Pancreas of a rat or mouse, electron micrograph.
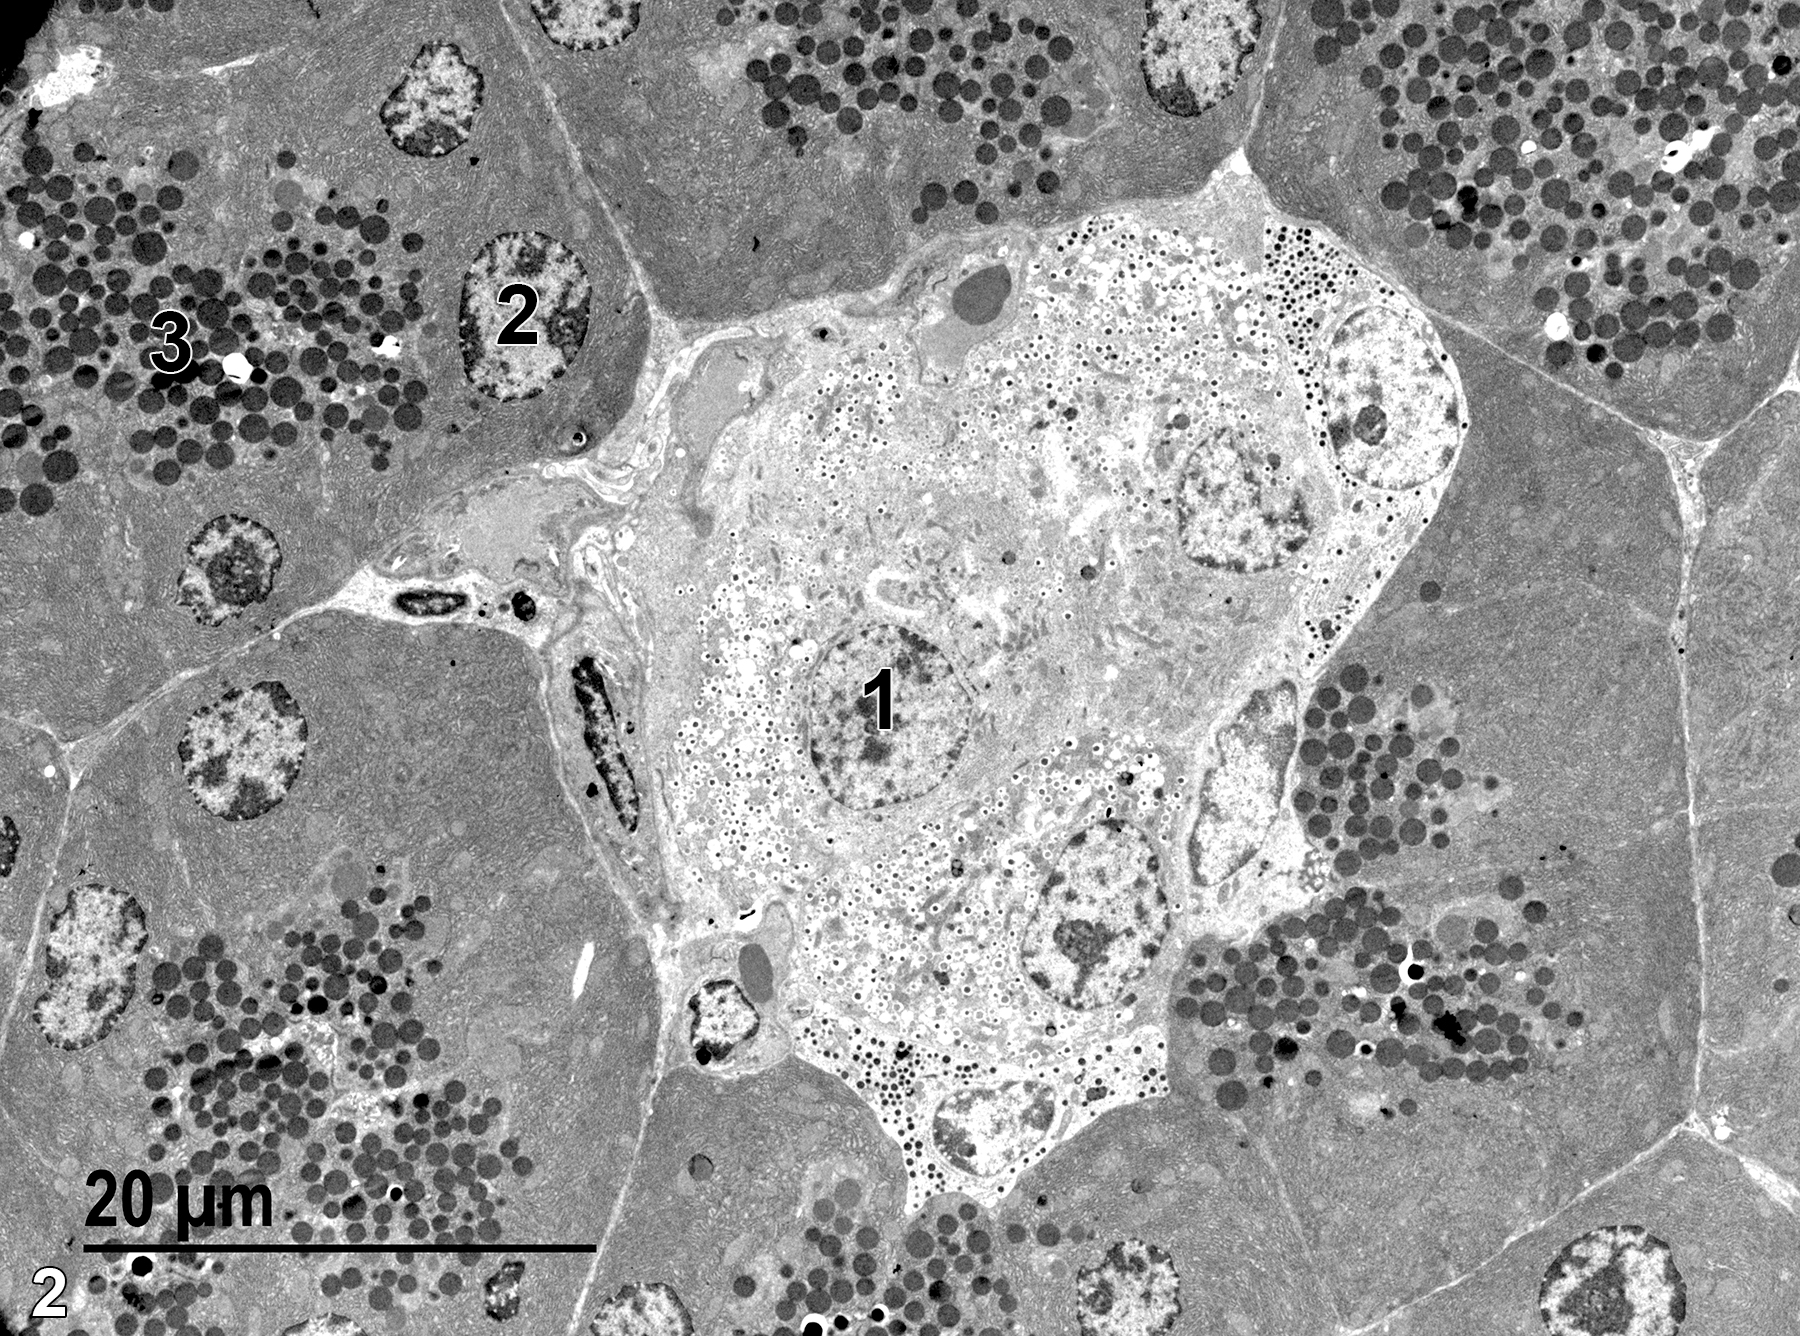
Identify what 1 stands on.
1 marks the endocrine cell nuclei.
